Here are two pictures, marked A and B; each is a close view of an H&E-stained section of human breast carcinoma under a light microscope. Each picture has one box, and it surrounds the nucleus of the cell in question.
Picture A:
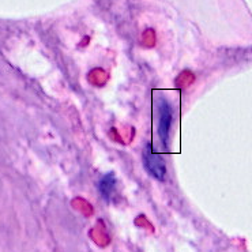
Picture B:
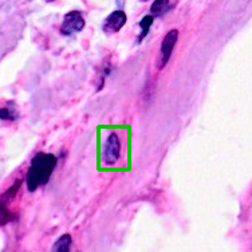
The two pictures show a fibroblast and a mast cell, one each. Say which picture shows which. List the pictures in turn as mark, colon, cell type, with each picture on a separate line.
A: fibroblast
B: mast cell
